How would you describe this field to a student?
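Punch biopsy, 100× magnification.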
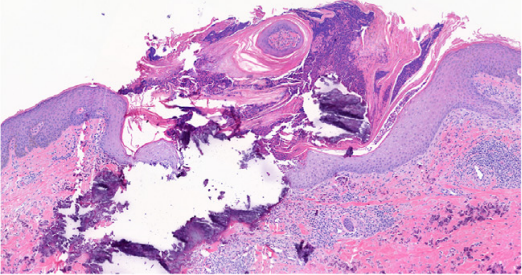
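Skin with stratified squamous epidermis on either side of a breach, through which dark purple, brittle, cracked material passes from the upper dermis to the surface. Above the breach lies a crust of pink keratin layers with a rounded keratin whorl and purple aggregates. Tearing artefact leaves clefts around the hard purple deposits. The dermis beneath holds scattered purple speckled material among collagen and a patchy dense infiltrate of small round nuclei. This shows basophilic calcified material being extruded through the epidermis.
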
